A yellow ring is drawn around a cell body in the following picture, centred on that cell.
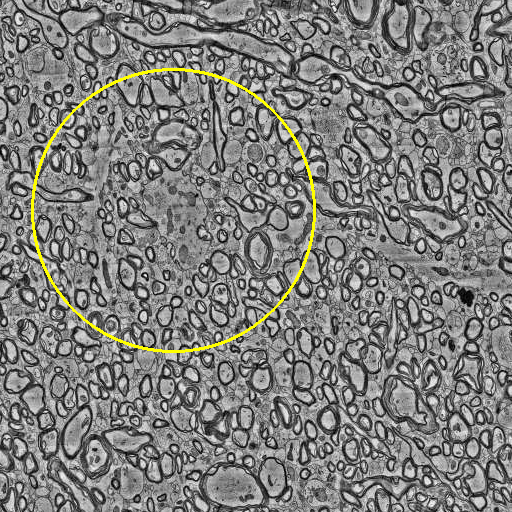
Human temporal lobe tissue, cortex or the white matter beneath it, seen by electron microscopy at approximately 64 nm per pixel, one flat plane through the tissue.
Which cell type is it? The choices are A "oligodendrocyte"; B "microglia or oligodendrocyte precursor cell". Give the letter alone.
A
